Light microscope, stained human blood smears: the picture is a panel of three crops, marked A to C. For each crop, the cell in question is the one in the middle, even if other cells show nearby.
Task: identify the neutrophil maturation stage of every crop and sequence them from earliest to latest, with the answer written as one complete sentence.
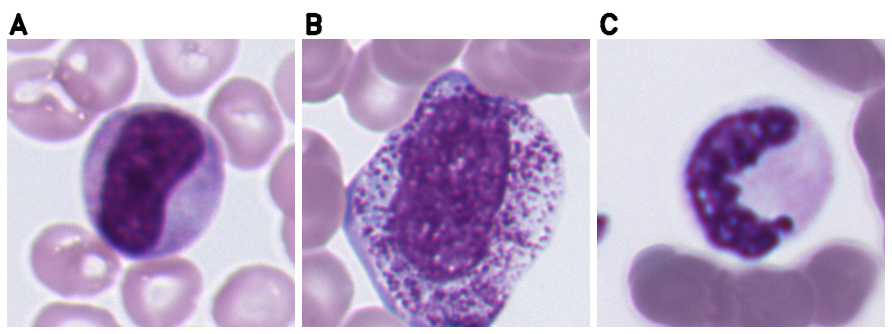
The order from the least mature cell to the most mature cell is crop B (a promyelocyte), crop A (a metamyelocyte) and crop C (a segmented neutrophil).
